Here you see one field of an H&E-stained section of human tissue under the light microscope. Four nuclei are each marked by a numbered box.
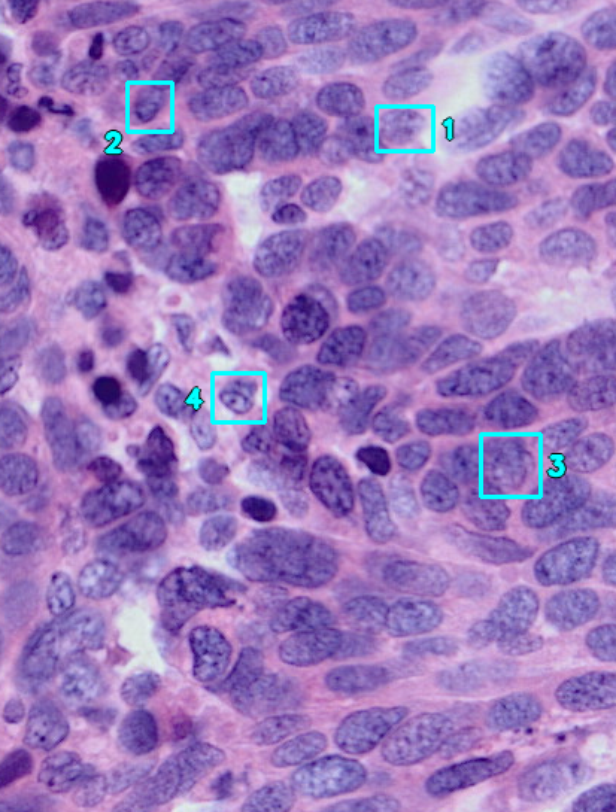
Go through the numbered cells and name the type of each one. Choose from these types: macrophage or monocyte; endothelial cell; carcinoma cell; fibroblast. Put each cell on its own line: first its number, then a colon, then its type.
1: carcinoma cell
2: carcinoma cell
3: carcinoma cell
4: macrophage or monocyte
